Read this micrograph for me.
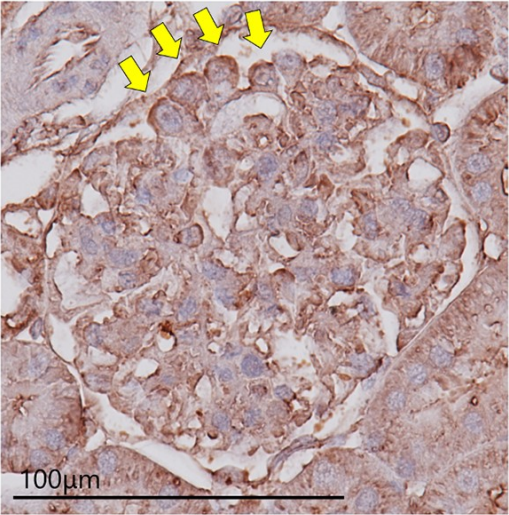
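A rounded capillary tuft lies within a narrow clear space, surrounded by a thin capsule and by tubules cut in cross-section. Rounded podocytes with bluish nuclei sit along the outer surface of the tuft and bulge into the clear space. Their cytoplasm and outlines are stained brown. Brown staining also lines the capillary loops throughout the tuft, which contains many small open lumens.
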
